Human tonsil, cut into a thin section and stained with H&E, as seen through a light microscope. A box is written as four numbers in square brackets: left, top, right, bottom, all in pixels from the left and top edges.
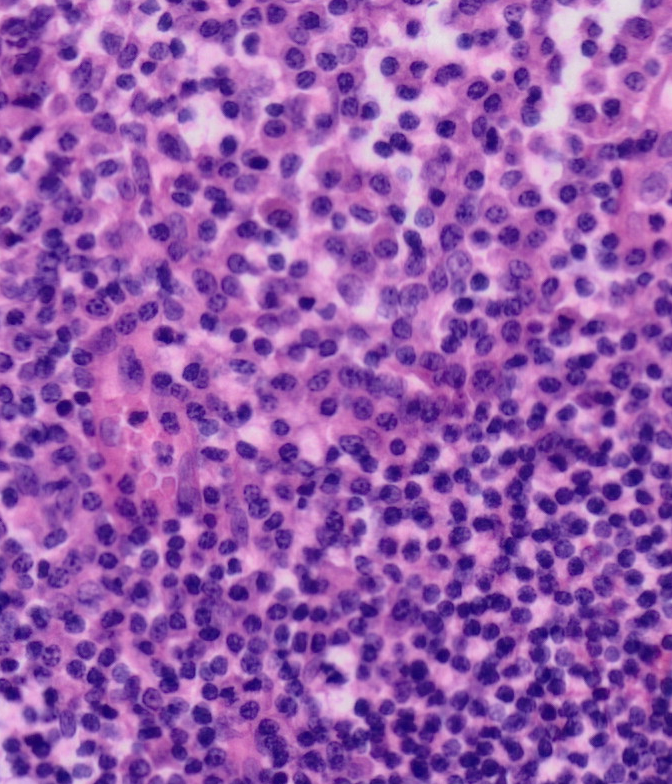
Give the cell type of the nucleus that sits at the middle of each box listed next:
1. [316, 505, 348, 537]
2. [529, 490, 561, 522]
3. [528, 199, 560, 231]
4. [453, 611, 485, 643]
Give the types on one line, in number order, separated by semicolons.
plasma cell; small lymphocyte; plasma cell; small lymphocyte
